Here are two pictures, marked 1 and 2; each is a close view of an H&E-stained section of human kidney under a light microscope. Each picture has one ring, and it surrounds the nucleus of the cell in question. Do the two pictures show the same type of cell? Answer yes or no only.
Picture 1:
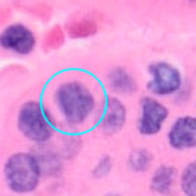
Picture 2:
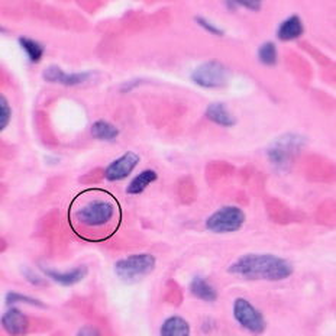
no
